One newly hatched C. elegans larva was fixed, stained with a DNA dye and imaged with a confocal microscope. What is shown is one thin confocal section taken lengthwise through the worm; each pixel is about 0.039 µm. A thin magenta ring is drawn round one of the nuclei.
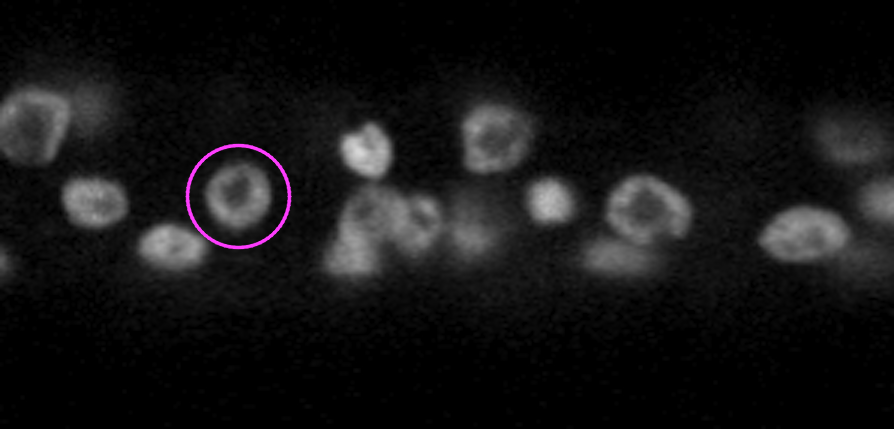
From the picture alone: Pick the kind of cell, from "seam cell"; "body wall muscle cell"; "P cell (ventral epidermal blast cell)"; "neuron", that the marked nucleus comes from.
seam cell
